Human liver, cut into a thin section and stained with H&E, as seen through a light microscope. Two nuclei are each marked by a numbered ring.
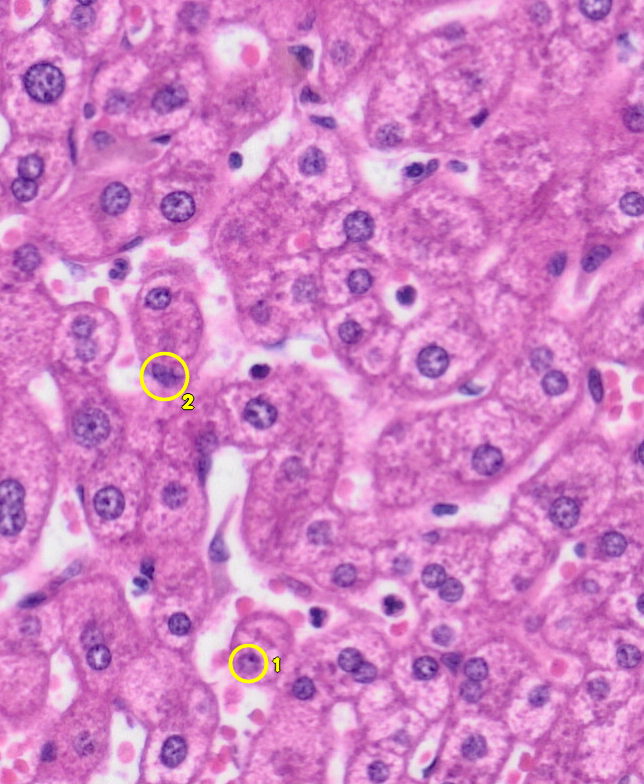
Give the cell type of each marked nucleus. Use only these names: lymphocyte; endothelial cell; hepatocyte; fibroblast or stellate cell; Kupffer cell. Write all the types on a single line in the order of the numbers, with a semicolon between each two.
hepatocyte; fibroblast or stellate cell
